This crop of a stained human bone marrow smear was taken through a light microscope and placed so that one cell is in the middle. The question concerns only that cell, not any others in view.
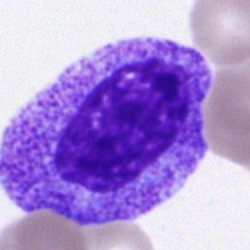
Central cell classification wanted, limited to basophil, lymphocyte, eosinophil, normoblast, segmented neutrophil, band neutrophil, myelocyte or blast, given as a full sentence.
Standing at the centre of this crop is a myelocyte.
